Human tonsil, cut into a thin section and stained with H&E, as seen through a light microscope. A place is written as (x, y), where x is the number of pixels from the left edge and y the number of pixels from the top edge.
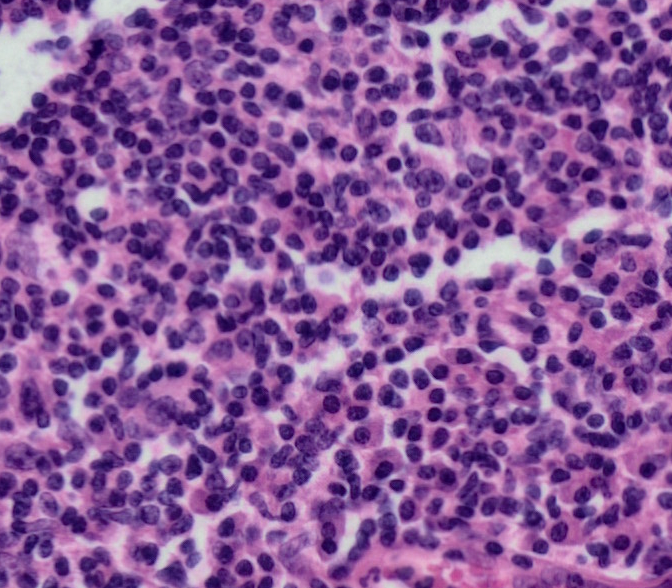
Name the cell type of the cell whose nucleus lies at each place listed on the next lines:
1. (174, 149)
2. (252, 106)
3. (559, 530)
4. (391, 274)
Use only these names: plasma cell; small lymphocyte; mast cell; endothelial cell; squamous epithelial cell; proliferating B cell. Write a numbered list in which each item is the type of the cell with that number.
1. small lymphocyte
2. small lymphocyte
3. plasma cell
4. small lymphocyte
